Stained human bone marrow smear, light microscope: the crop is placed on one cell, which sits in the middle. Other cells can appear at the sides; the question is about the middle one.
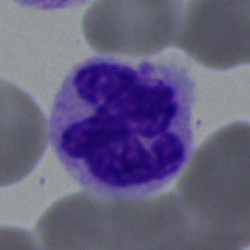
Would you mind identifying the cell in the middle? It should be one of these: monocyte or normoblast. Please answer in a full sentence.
The cell in the middle of this crop is a monocyte.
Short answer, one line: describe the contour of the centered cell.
Around its whole circumference the outline stays smooth, free of projections.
